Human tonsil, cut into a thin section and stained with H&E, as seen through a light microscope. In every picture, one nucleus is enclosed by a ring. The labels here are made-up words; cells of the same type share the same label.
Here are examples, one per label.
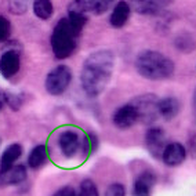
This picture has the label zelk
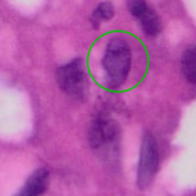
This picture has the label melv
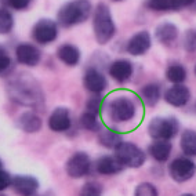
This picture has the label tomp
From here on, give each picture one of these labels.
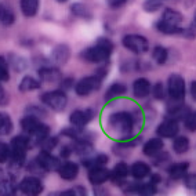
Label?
tomp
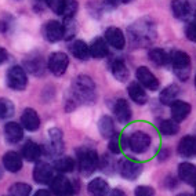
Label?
tomp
